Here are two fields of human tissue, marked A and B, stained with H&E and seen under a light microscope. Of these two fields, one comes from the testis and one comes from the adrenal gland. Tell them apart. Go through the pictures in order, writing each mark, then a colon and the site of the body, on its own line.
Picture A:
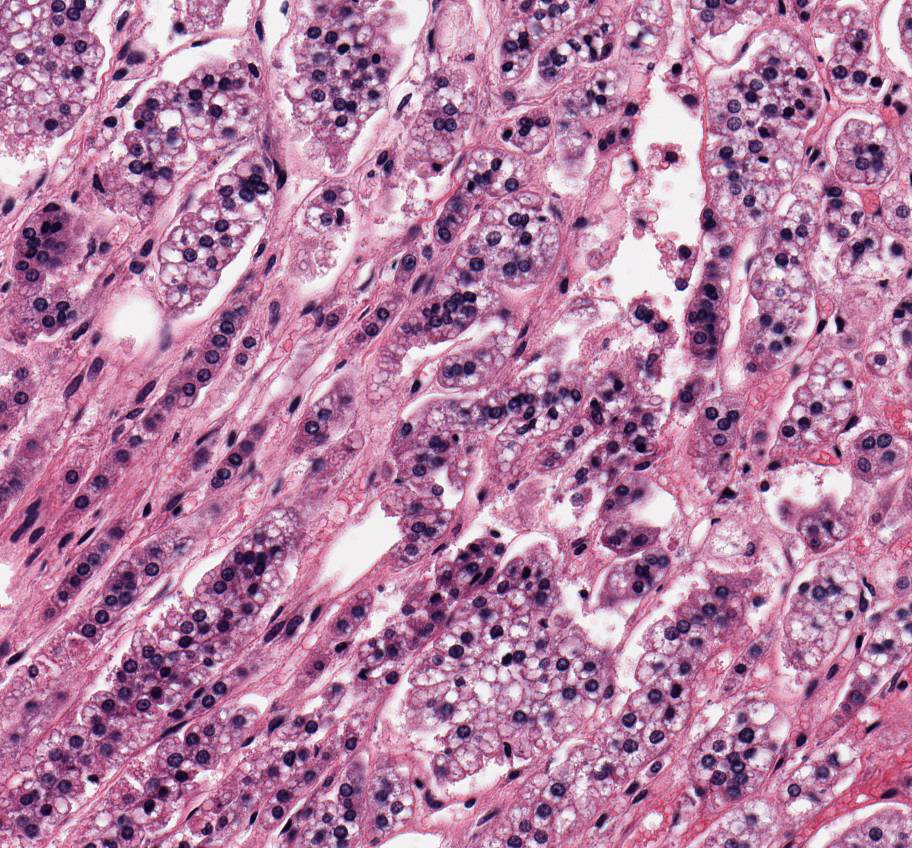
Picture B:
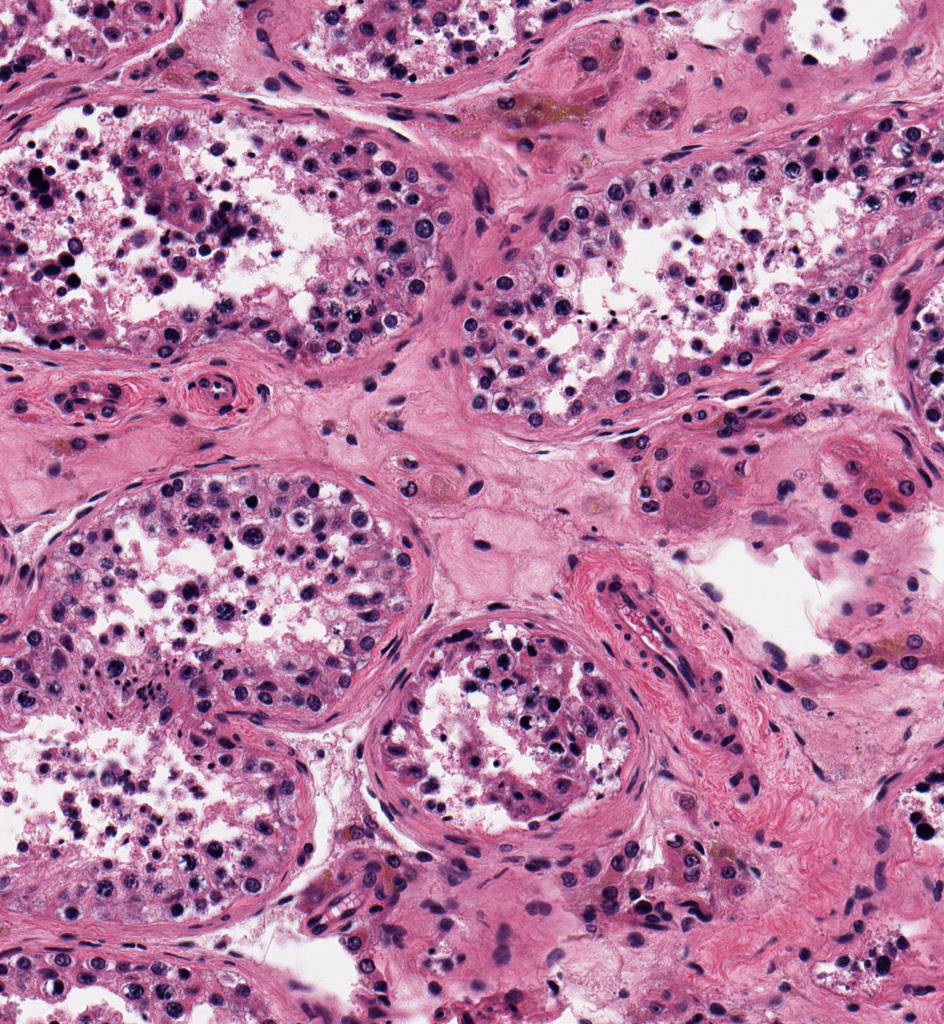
A: adrenal gland
B: testis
